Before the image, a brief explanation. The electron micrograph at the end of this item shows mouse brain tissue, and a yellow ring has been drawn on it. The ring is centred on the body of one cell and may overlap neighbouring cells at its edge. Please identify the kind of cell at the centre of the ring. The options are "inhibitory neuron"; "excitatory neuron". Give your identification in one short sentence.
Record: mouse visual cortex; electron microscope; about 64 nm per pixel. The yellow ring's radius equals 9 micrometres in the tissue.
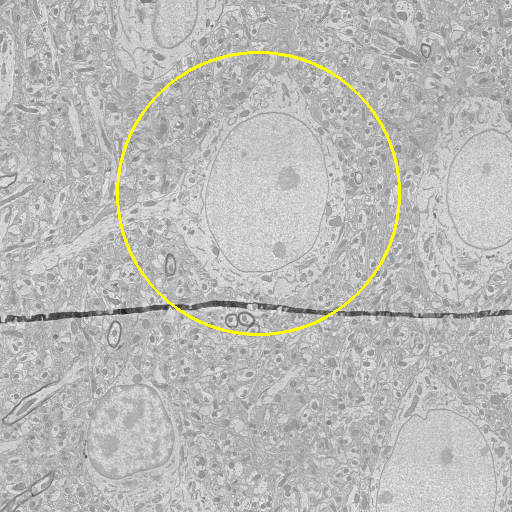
The ring has been placed around an excitatory neuron.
